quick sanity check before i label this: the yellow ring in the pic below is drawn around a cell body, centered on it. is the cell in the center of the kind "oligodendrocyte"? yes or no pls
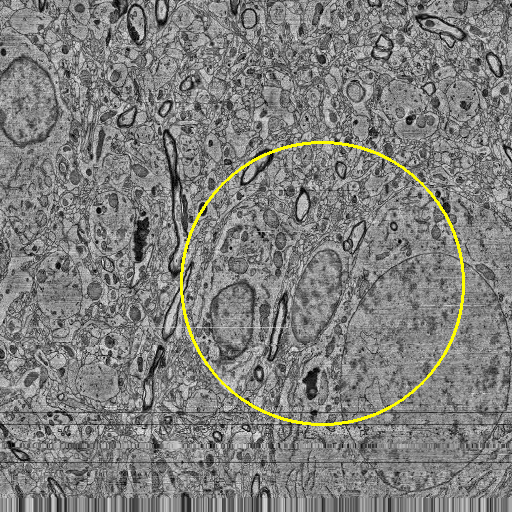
yes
